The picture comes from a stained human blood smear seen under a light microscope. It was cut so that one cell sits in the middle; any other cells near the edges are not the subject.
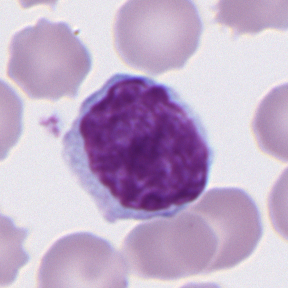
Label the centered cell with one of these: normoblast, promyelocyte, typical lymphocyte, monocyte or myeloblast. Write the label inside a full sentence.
Where the crop is centred, there is a typical lymphocyte.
